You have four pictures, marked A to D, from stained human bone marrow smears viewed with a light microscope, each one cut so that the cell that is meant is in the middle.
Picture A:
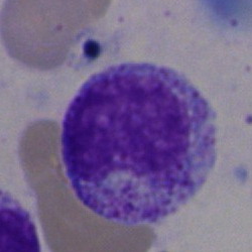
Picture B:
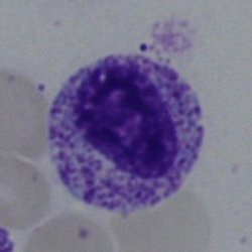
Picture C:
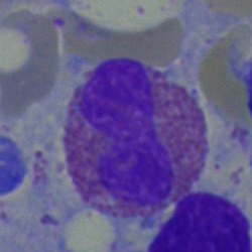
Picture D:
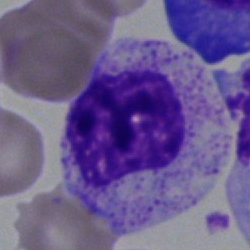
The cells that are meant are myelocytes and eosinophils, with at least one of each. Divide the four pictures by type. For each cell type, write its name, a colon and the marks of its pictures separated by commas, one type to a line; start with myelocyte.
myelocyte: A, B, D
eosinophil: C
